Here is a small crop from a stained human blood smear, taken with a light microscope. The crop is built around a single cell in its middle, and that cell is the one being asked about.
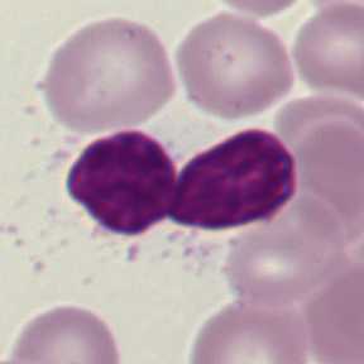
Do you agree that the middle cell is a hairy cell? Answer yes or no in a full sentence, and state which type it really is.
No, at the centre of this crop is found a smudge cell instead of a hairy cell.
